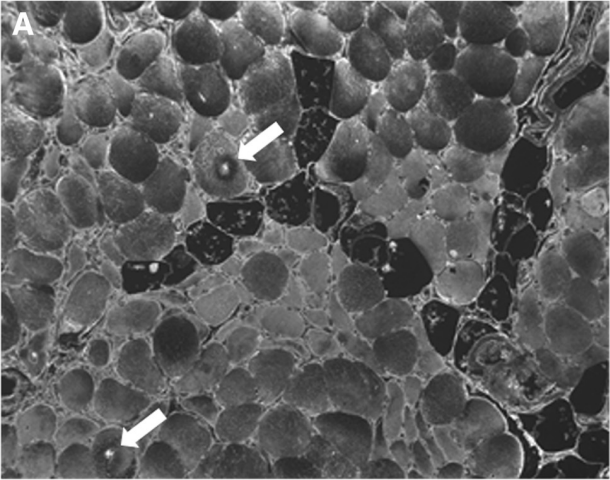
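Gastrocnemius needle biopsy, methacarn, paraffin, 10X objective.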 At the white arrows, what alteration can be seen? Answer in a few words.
Target lesions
